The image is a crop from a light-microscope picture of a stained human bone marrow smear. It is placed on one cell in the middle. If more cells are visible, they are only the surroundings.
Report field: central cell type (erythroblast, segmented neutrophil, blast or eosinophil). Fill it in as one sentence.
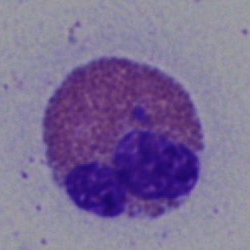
Where the crop is centred, there is an eosinophil.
